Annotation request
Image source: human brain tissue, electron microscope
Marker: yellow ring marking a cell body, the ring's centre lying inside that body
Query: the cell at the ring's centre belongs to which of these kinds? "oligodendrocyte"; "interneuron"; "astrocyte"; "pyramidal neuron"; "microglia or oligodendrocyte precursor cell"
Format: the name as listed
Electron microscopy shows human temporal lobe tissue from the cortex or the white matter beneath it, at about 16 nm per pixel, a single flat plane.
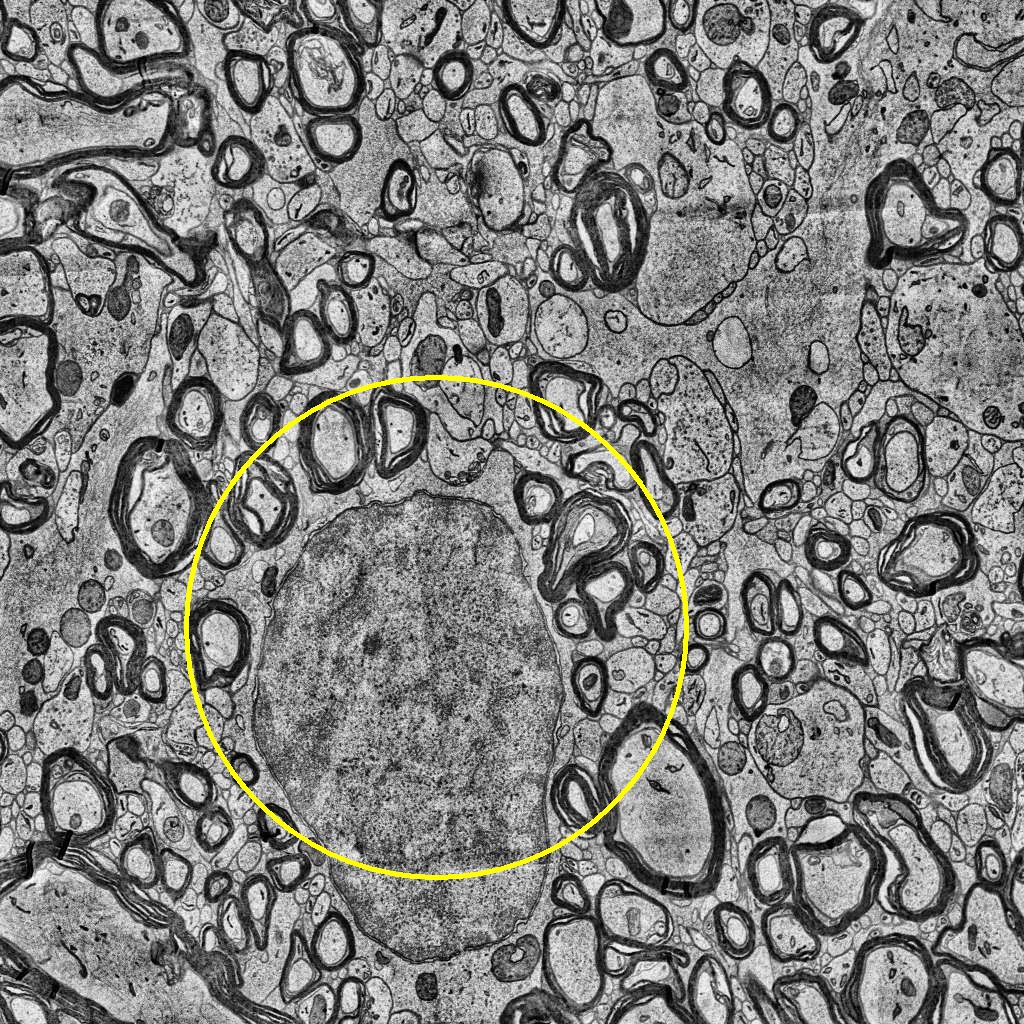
oligodendrocyte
